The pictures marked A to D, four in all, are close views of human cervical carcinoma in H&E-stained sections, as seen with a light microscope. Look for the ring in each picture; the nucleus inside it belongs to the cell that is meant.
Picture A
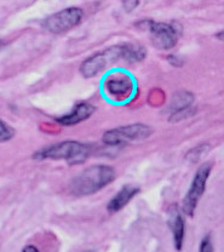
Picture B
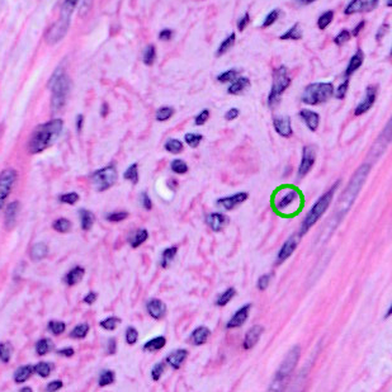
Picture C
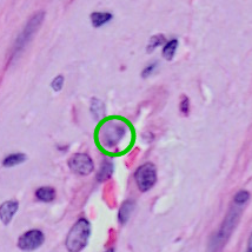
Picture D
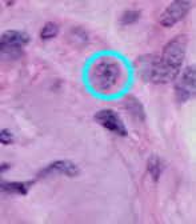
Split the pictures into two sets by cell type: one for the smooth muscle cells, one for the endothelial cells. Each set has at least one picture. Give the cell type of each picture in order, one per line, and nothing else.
endothelial cell
smooth muscle cell
endothelial cell
smooth muscle cell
